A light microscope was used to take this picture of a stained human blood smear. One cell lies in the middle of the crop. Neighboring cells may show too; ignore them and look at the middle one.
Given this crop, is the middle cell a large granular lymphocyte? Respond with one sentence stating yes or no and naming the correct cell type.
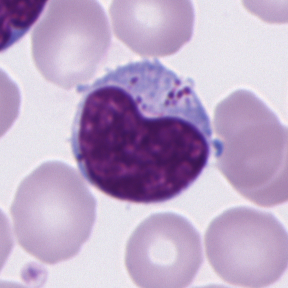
Yes, the cell of interest in the middle is a large granular lymphocyte.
